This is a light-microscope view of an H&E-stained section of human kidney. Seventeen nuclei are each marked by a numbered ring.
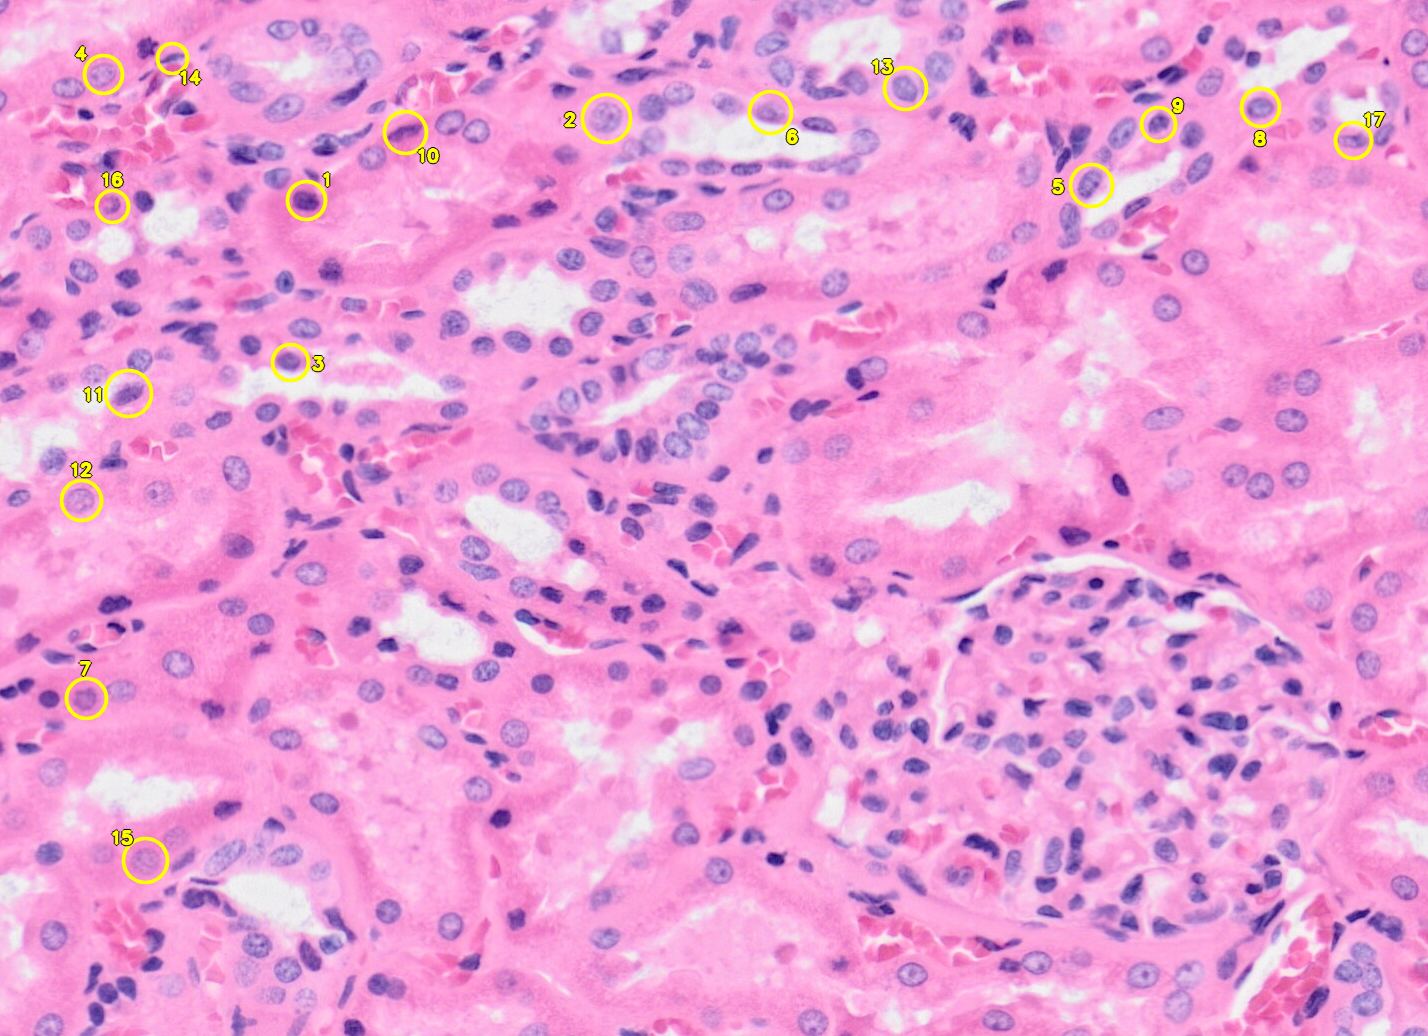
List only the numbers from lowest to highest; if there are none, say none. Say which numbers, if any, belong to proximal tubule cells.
1, 4, 7, 10, 12, 15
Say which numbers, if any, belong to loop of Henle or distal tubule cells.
2, 3, 6, 8, 11, 16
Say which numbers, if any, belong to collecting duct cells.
5, 9, 13, 17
